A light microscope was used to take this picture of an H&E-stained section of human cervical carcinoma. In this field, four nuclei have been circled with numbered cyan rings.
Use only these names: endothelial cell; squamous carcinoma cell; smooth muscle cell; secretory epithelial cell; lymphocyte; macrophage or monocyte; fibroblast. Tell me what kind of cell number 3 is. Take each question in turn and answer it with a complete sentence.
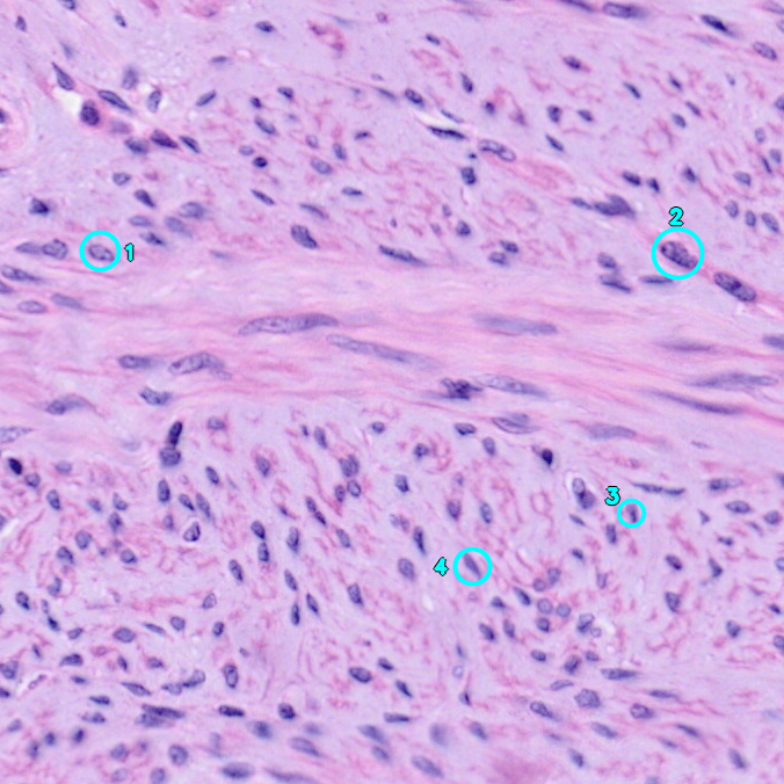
The numbered cell 3 in this field is a smooth muscle cell.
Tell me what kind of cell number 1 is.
In the marked set, the cell given number 1 is a smooth muscle cell.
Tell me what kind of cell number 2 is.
Identified as an endothelial cell is the cell bearing the number 2.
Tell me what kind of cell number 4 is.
The cell whose nucleus carries the number 4 is a smooth muscle cell.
